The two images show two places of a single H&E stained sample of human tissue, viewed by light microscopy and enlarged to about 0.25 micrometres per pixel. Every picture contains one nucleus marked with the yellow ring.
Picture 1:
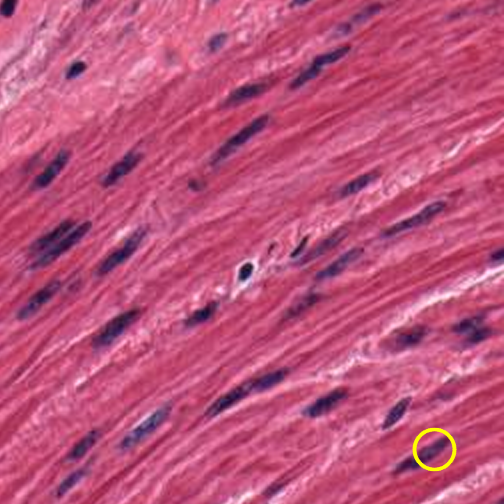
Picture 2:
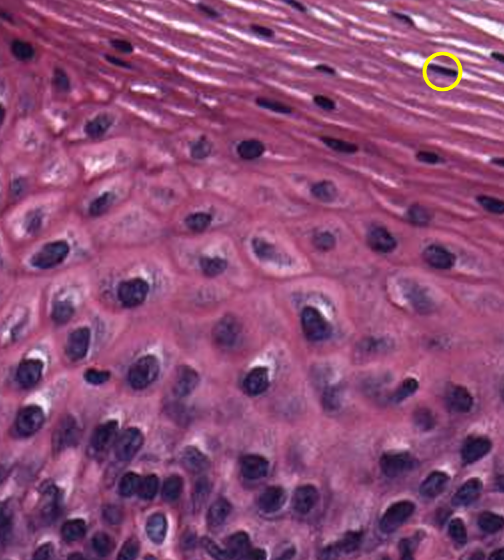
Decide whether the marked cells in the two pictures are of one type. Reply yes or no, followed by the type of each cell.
No, the first is a smooth muscle cell and the second a squamous epithelial cell.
